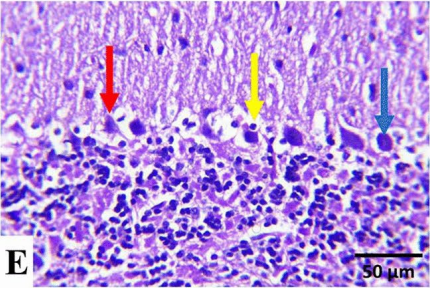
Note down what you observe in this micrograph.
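A section of cerebellar cortex shows the molecular layer above, the Purkinje cell row in the middle and the granule cell layer below. The Purkinje cells are shrunken, angular and darkly stained purple, several sitting within clear spaces. The granule cell layer below is less orderly than normal, with scattered dark nuclei and pale gaps.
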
